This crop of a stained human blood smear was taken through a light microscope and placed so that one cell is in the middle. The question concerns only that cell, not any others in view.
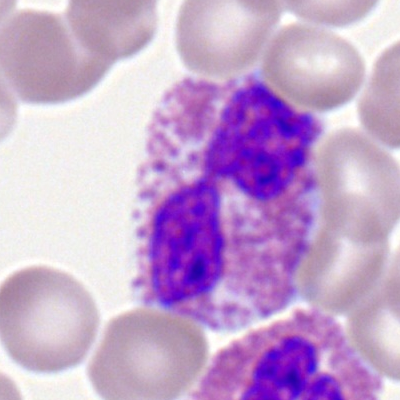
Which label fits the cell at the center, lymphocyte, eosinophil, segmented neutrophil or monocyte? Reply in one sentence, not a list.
Regarding the central cell, it is an eosinophil.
